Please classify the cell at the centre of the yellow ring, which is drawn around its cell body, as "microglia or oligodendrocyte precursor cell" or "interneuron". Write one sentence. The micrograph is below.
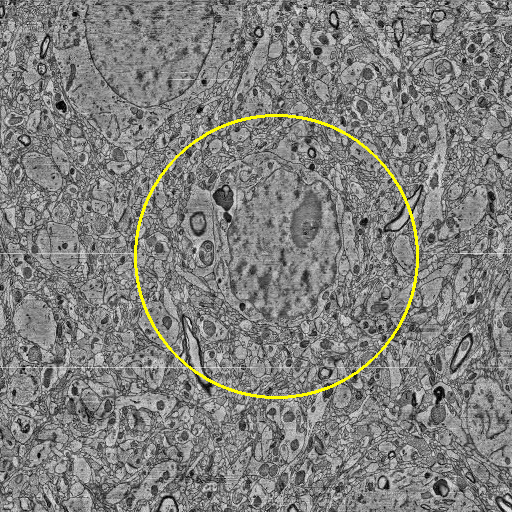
The cell at the ring's centre is classified as an interneuron.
